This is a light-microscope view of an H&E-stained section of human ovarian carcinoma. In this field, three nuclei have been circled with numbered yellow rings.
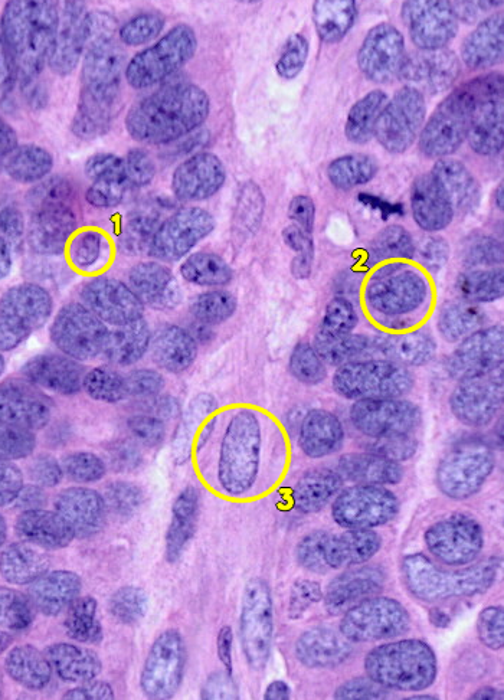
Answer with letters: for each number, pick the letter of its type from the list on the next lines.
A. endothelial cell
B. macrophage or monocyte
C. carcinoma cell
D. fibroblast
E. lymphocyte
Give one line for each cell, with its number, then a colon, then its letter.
1: B
2: C
3: D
